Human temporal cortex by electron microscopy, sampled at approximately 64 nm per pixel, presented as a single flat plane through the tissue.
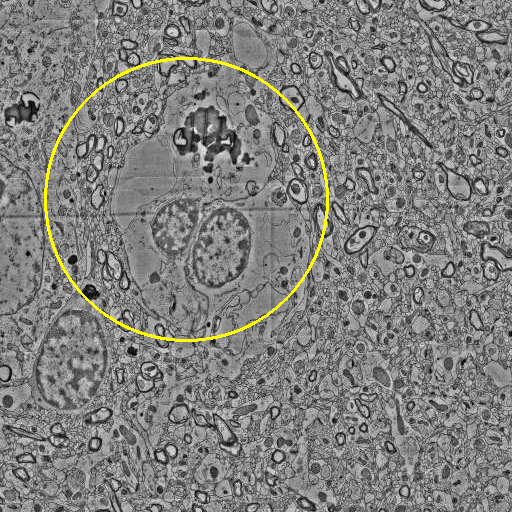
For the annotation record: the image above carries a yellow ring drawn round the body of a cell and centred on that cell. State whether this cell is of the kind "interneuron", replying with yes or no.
No, this cell is of another kind.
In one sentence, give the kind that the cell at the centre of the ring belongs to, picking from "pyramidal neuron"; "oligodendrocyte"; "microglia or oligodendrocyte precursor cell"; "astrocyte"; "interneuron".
In this picture, the ring is centred on an astrocyte.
